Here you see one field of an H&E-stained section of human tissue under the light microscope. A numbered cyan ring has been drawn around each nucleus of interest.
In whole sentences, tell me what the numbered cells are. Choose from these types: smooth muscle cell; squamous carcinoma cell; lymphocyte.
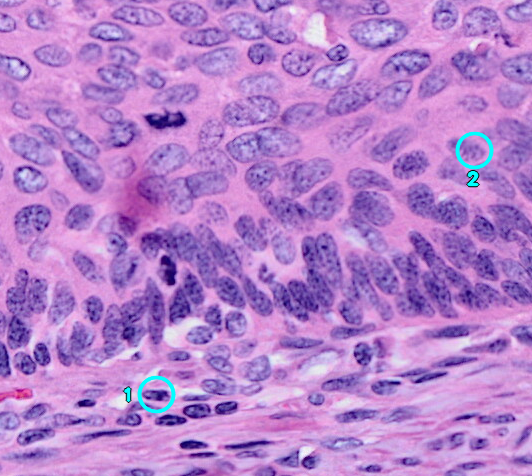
Cell 1 is a lymphocyte. Cell 2 is a squamous carcinoma cell.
